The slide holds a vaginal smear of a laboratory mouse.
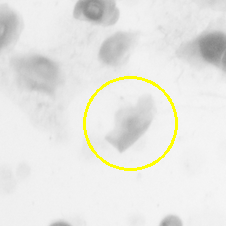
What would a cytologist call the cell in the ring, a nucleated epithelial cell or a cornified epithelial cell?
A cytologist would call it a cornified epithelial cell.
